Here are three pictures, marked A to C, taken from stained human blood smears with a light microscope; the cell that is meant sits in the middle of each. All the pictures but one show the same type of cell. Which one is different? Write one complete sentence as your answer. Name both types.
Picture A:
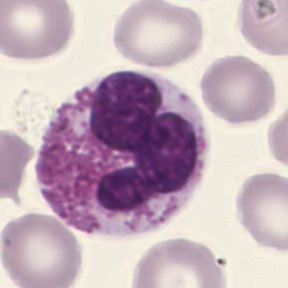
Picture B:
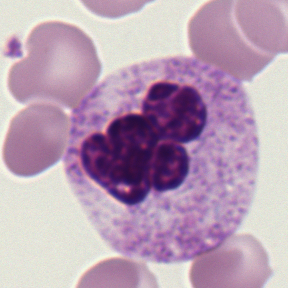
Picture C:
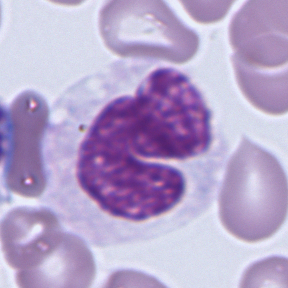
Picture A differs, because its cell is an eosinophil and the rest are segmented neutrophils.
